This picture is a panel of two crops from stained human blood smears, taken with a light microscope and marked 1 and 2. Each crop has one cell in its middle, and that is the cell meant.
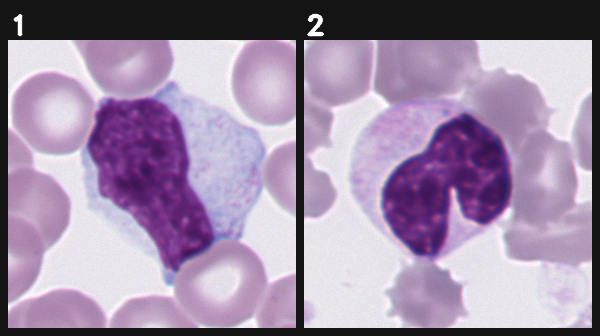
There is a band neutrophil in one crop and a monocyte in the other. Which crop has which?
1: monocyte
2: band neutrophil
